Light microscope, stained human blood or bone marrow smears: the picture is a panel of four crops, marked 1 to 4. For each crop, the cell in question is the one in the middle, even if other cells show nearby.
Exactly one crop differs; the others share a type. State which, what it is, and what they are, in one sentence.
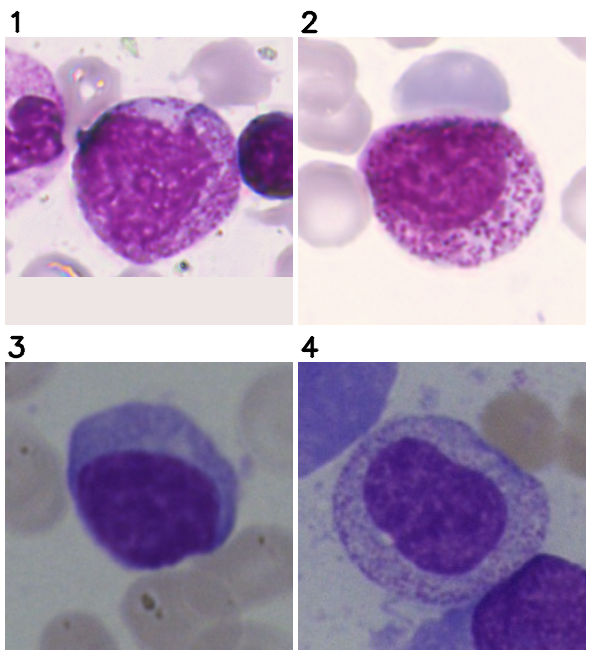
Crop 3 presents a plasma cell, while myelocytes are presented by all other crops.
